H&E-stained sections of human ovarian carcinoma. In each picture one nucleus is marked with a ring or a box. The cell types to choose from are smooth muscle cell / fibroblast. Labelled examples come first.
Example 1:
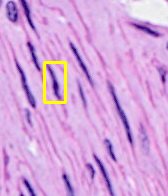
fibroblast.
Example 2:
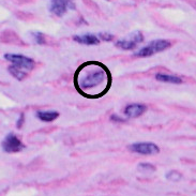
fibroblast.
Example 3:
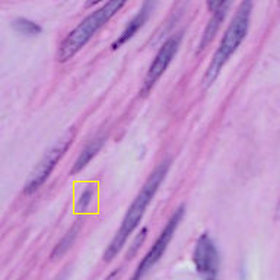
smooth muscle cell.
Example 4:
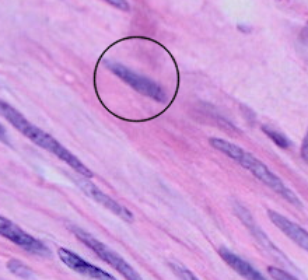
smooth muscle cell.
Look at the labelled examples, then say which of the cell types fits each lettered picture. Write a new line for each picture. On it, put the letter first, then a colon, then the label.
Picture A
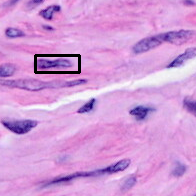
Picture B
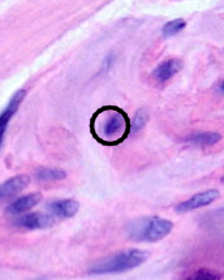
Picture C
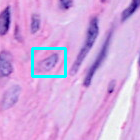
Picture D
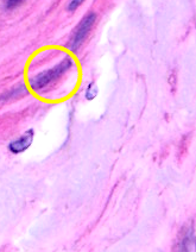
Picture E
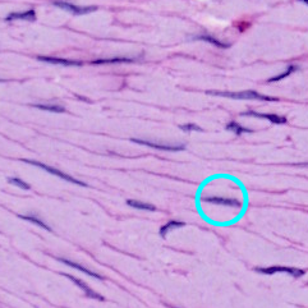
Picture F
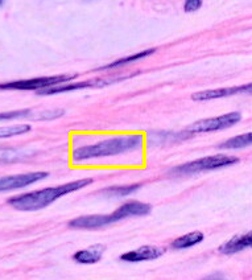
A: smooth muscle cell.
B: smooth muscle cell.
C: smooth muscle cell.
D: smooth muscle cell.
E: fibroblast.
F: smooth muscle cell.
